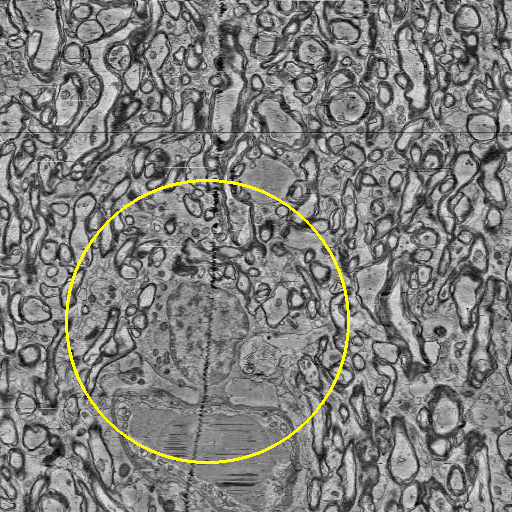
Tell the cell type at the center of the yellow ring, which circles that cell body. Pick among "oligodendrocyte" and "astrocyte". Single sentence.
The ring is centered on the body of an oligodendrocyte.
